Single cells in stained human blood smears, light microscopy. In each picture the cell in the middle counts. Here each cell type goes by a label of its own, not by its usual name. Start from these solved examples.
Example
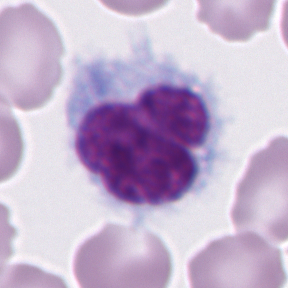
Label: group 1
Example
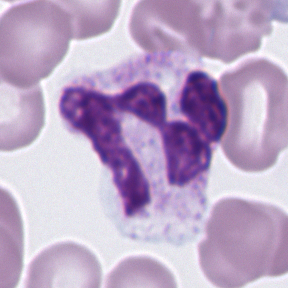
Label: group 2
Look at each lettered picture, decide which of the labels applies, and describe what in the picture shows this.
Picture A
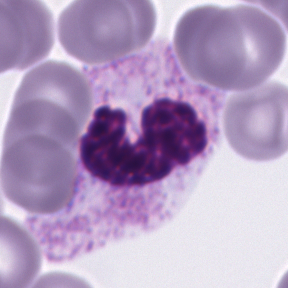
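group 2: The cytoplasm is abundant and pale pinkish-lilac.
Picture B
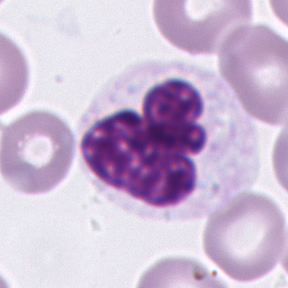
group 2: The cytoplasm is plentiful and pale greyish-lilac.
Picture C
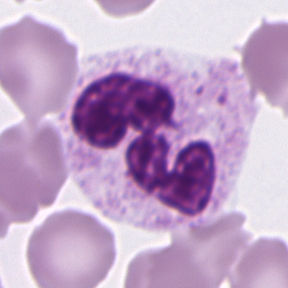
group 2: The nucleus is divided into separate lobes joined by a narrow strand.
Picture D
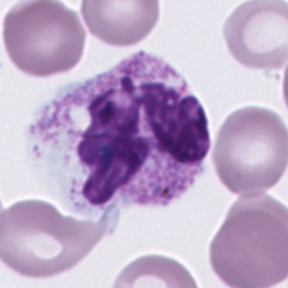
group 2: The nucleus is divided into several lobes.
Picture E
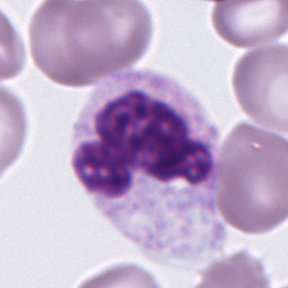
group 2: The cytoplasm is abundant and pale pinkish-lilac.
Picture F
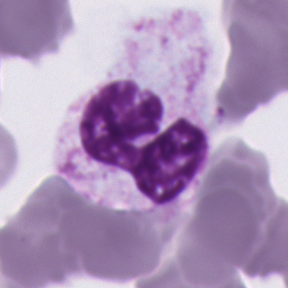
group 2: The two nuclear lobes lie one at upper left and one at lower right.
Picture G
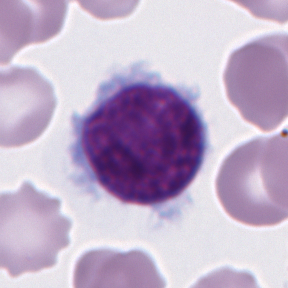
group 1: The cytoplasm forms only a narrow rim around the nucleus.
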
